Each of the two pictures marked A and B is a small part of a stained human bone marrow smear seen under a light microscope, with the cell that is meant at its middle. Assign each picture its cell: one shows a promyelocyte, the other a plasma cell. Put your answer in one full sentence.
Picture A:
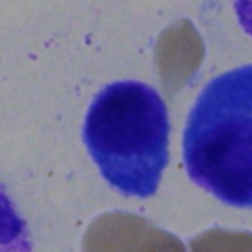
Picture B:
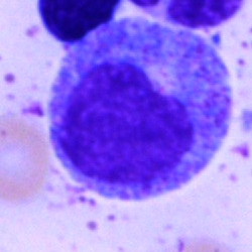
Picture A shows a plasma cell and picture B shows a promyelocyte.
